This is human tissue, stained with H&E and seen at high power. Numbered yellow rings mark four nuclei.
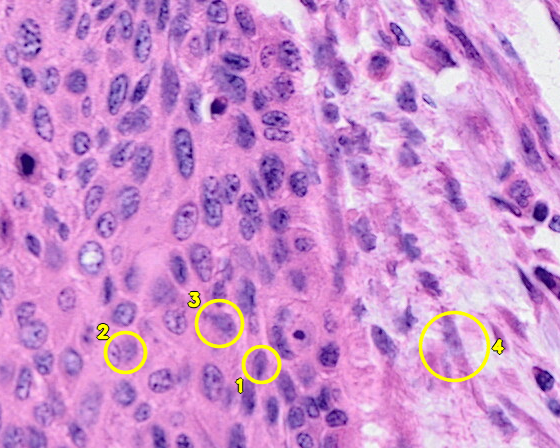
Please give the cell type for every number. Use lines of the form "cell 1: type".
cell 1: squamous carcinoma cell
cell 2: squamous carcinoma cell
cell 3: squamous carcinoma cell
cell 4: fibroblast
